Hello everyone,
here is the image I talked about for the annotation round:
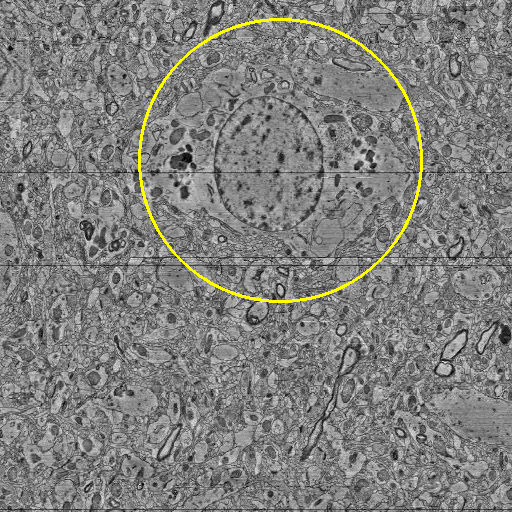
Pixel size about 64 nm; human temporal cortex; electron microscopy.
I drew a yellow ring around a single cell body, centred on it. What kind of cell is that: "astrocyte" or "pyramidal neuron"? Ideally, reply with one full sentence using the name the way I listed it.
The cell your yellow ring is centred on is an astrocyte, going by your list.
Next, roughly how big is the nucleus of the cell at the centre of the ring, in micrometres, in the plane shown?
In this plane, about 9 micrometres in length and 7 in width.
